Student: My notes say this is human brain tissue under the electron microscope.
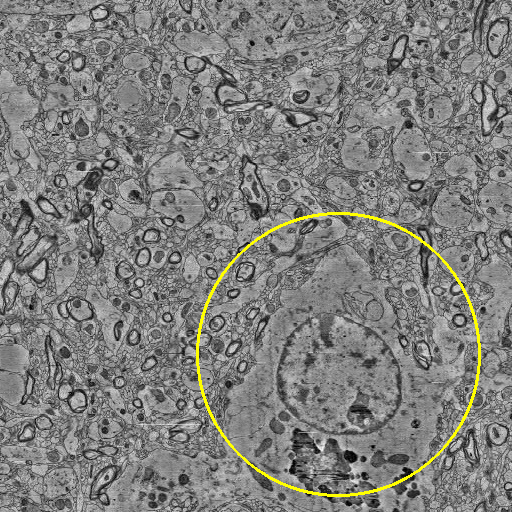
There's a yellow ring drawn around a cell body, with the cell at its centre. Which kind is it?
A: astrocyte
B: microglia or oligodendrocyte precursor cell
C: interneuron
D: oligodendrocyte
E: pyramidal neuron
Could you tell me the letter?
A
